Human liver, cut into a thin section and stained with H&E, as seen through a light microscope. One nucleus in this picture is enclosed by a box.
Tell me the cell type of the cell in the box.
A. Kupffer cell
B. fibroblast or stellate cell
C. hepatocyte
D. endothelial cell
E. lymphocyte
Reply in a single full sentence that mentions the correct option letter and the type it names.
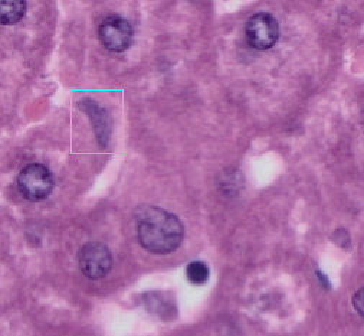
Option A is the one to take: the cell in the box is a Kupffer cell.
